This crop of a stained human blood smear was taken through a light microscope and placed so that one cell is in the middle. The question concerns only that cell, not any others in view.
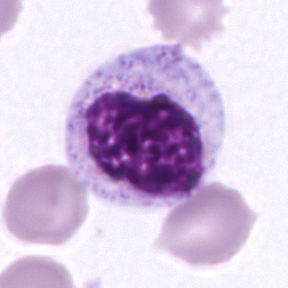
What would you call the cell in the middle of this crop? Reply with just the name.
metamyelocyte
